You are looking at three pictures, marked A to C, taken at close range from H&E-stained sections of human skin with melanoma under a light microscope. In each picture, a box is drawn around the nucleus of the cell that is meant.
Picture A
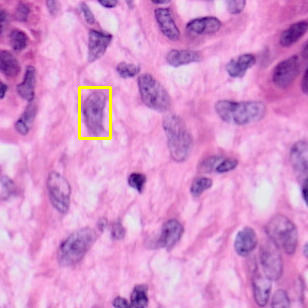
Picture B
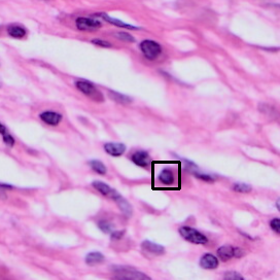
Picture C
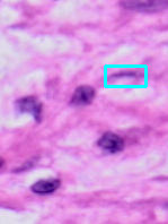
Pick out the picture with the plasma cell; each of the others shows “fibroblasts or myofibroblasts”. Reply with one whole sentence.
Picture B is the one that shows the plasma cell.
